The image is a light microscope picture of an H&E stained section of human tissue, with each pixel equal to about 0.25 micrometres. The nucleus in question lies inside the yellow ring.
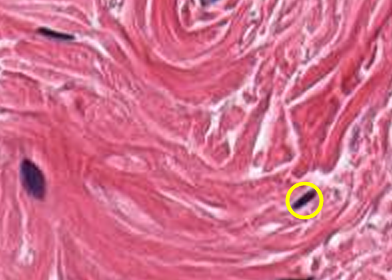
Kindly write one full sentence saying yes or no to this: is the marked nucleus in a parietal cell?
No, the marked nucleus is part of a supporting cell and does not belong to a parietal cell.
